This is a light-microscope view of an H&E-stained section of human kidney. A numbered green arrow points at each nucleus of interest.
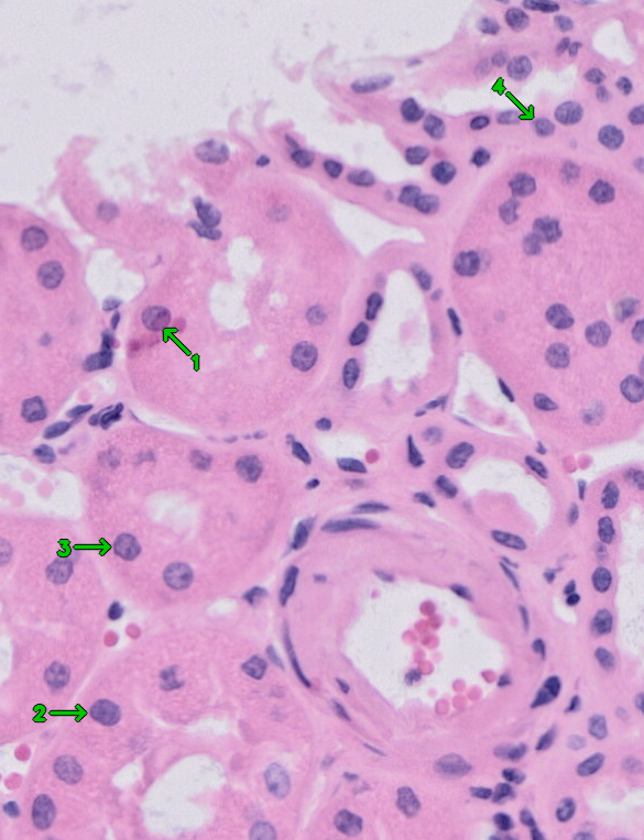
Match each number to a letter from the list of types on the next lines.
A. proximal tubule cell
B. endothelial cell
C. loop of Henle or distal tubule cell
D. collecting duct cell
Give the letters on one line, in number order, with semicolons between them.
A; A; A; D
